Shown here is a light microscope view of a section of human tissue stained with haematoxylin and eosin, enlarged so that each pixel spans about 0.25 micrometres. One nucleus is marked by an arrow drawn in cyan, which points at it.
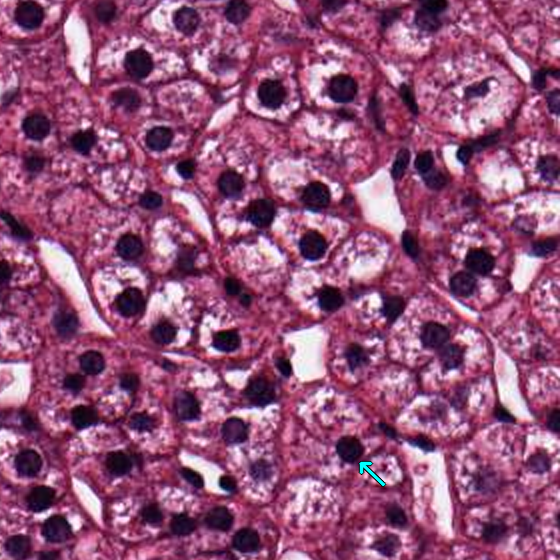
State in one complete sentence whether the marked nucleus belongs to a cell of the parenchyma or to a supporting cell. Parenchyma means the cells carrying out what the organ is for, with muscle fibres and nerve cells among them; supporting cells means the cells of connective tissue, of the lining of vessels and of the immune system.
The marked nucleus is assigned to a parenchymal cell, namely an adrenal cortical cell.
